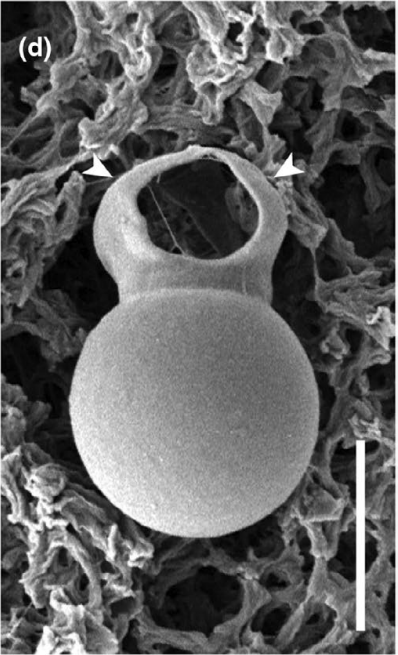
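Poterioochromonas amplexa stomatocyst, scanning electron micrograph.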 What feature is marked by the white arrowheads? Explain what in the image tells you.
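The two arrowheads point to the sides of an arch rising from a cylindrical neck above the spherical body. The arch encloses a large opening. That points to this answer: curved projections.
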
